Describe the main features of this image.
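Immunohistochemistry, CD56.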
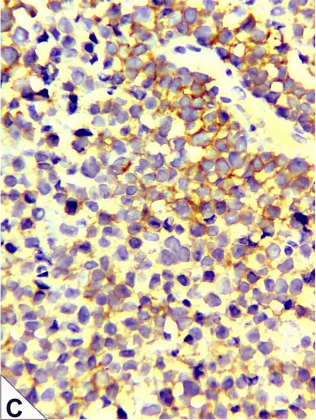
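The field shows a sheet of densely packed tumor cells with small, round to oval nuclei stained blue. The cells have scant cytoplasm and sit close together, with a few small pale clefts and a thin vessel-like channel crossing the upper part of the field.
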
